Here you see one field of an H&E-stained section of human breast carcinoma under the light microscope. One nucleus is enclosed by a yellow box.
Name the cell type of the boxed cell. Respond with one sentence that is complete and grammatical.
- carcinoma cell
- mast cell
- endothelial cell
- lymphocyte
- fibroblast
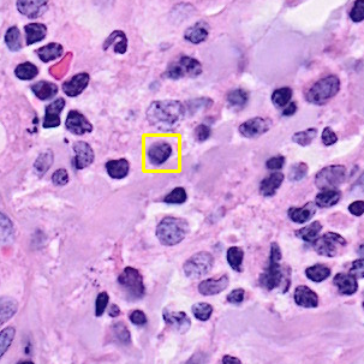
Right, so the boxed cell is a lymphocyte, to answer that.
